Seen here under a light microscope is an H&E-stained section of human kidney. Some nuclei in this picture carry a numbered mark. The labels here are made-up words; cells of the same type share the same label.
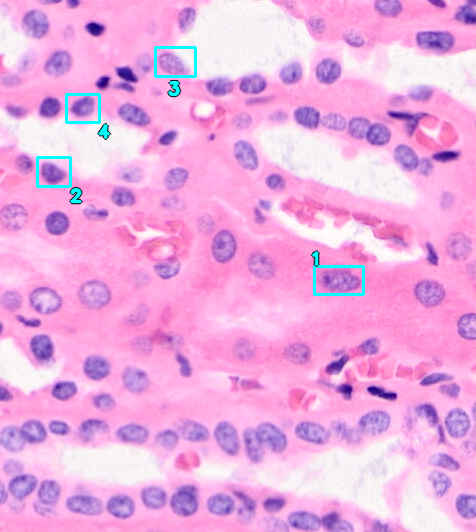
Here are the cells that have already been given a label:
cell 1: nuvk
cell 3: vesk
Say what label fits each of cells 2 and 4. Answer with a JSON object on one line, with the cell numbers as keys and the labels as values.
{"2": "vesk", "4": "vesk"}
